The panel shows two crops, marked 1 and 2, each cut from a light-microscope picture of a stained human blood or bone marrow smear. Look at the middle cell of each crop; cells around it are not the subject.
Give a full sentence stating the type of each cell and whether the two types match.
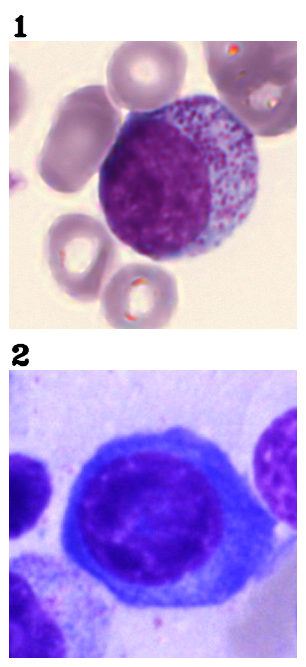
No, on this set crop 1 shows a promyelocyte and crop 2 shows a plasma cell.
